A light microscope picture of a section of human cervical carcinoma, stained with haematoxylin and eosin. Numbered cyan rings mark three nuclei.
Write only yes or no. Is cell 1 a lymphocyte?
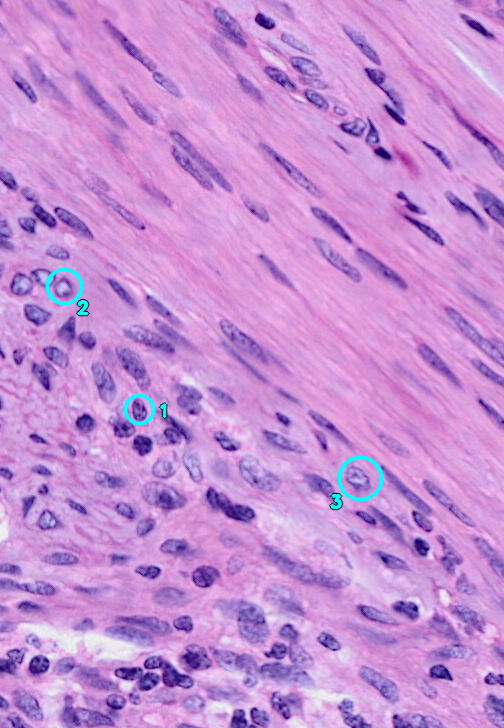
yes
